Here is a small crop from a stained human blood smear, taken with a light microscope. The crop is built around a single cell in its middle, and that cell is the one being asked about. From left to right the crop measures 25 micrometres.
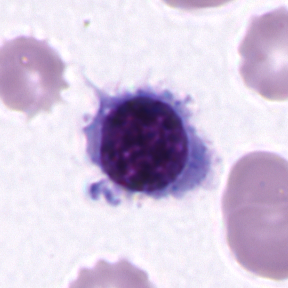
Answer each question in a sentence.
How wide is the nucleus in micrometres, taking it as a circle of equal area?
Taken as a circle, the nucleus has a diameter of about 8 micrometres.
